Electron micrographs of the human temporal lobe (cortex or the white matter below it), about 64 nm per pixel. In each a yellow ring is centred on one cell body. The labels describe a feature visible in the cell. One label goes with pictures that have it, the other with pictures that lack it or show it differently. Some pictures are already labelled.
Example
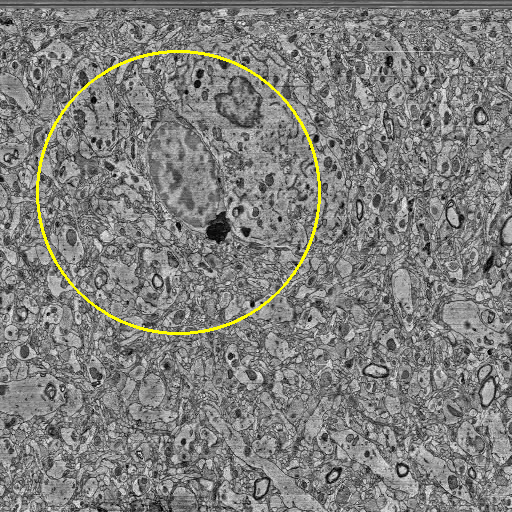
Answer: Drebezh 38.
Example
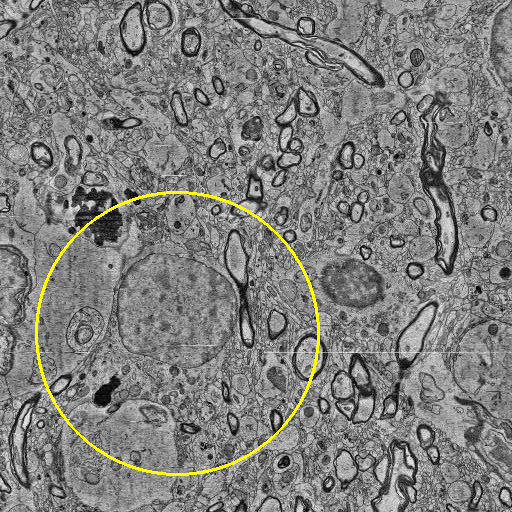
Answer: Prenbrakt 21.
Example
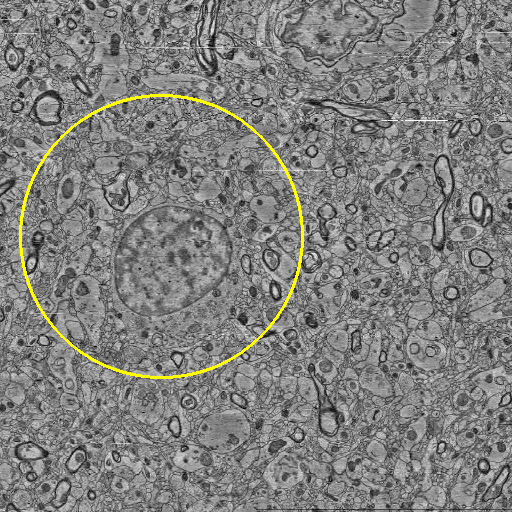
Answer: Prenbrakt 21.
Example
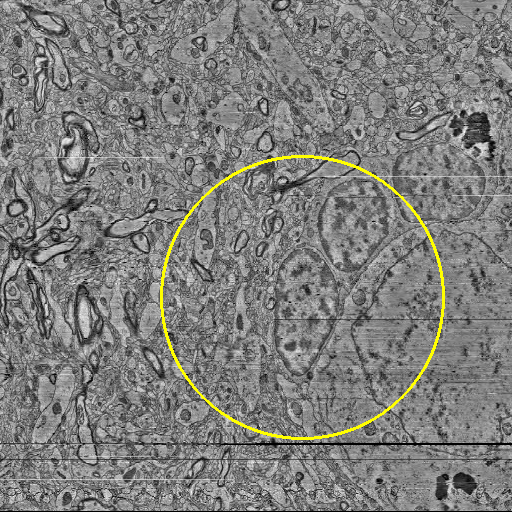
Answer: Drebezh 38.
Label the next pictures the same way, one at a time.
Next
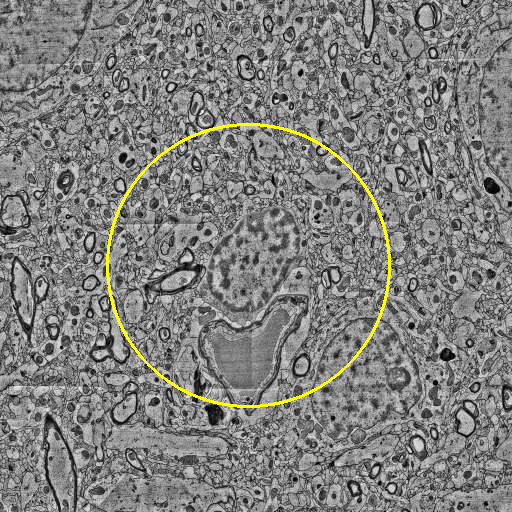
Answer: Prenbrakt 21.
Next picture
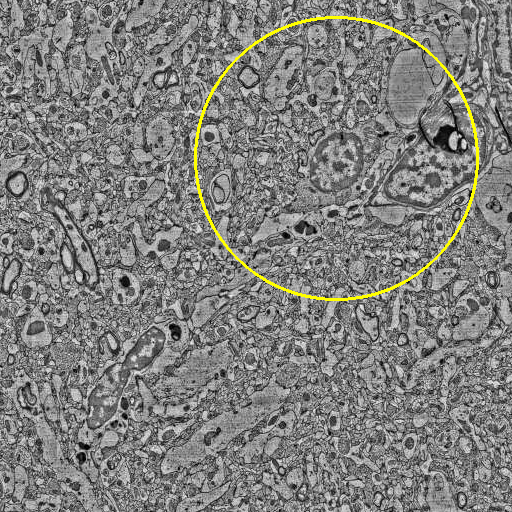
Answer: Prenbrakt 21.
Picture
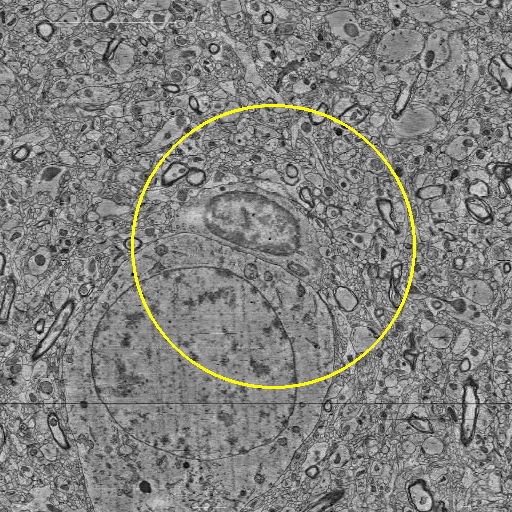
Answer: Drebezh 38.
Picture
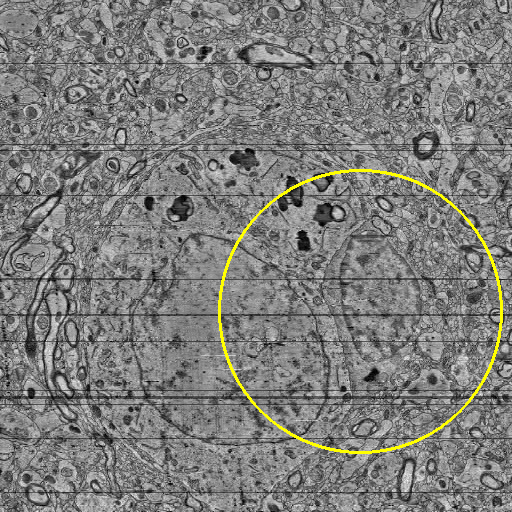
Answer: Drebezh 38.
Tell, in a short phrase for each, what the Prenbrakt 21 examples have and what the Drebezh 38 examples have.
Seen in Prenbrakt 21: round or nearly round nuclei; seen in Drebezh 38: clearly elongated nuclei.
